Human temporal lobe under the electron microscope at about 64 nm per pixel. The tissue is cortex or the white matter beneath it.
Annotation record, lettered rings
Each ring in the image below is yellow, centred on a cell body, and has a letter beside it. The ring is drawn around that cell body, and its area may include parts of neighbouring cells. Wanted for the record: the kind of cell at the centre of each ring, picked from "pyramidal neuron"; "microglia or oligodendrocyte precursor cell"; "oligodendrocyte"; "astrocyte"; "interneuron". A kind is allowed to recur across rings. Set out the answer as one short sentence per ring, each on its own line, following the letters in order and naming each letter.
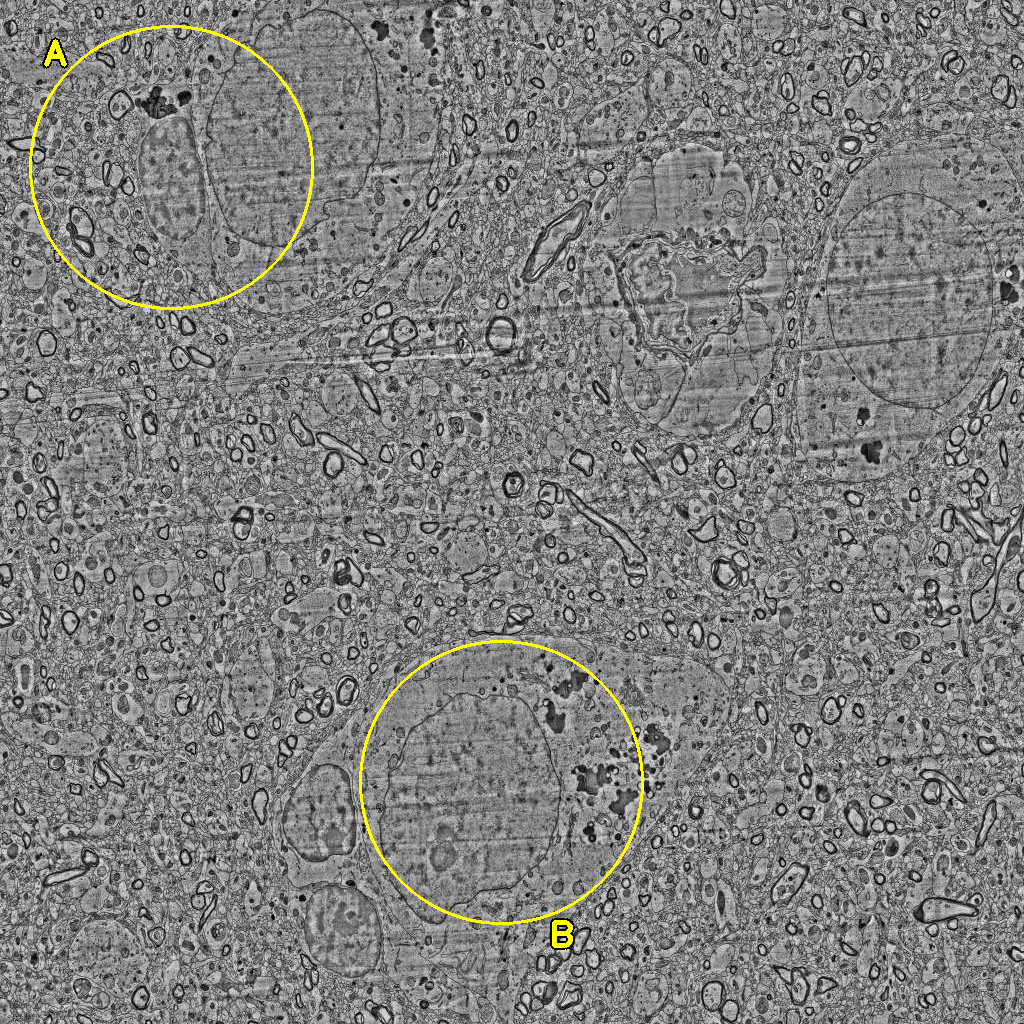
Ring A was drawn on an oligodendrocyte.
Ring B was drawn on a pyramidal neuron.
